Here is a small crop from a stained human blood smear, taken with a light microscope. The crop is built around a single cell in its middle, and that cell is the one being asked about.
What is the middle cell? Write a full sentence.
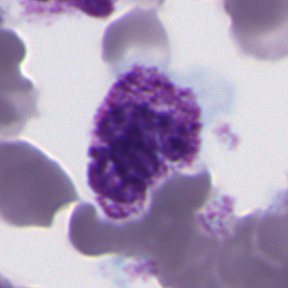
The central cell, amid any neighbouring cells, is a basophil.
